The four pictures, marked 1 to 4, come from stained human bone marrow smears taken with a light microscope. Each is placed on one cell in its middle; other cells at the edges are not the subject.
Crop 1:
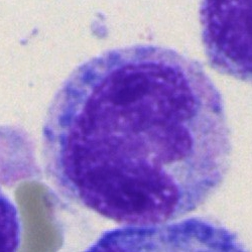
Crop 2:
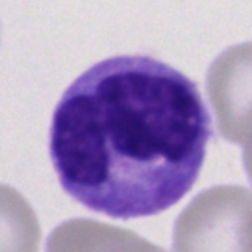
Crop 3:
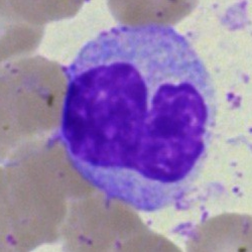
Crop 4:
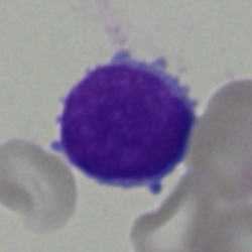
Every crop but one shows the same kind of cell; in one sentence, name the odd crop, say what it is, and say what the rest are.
Just crop 4 is a blast; all the other crops show monocytes.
